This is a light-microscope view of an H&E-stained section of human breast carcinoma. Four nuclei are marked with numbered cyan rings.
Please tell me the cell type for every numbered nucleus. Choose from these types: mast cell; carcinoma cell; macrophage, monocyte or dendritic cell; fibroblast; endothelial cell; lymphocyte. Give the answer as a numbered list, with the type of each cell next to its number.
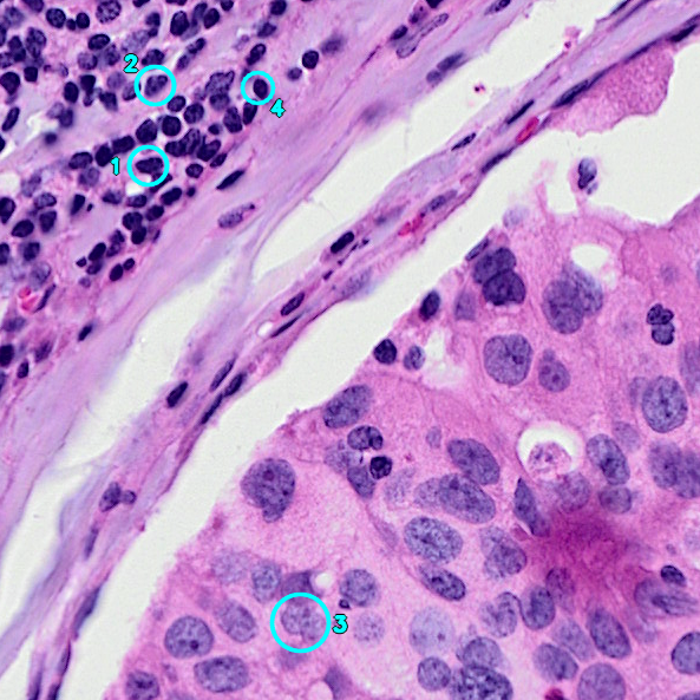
1. lymphocyte
2. lymphocyte
3. carcinoma cell
4. lymphocyte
